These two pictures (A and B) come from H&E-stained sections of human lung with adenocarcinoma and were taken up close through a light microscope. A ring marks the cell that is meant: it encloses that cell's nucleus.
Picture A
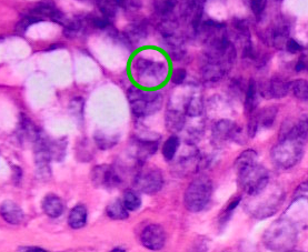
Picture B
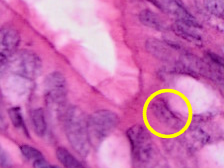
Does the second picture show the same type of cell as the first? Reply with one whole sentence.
Yes, they are the same type: both are ciliated epithelial cells.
